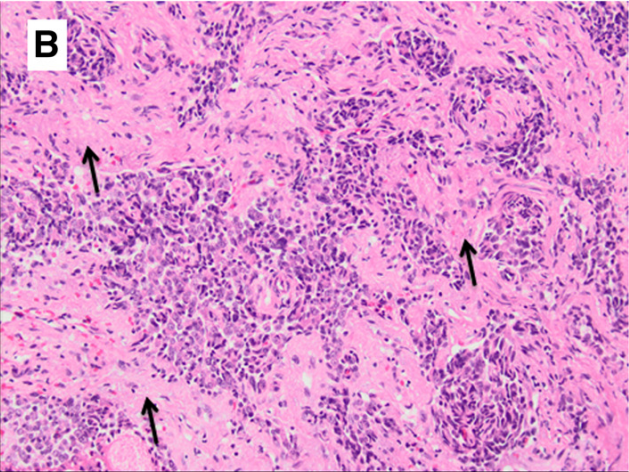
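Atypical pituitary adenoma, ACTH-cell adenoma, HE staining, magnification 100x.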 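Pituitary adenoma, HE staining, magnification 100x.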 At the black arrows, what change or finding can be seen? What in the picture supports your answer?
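Infiltration of surrounding meninges. Nests and strands of small dark-nucleated cells lie between bands of pink fibrous tissue. The arrows point into the pink collagenous stroma around the cell nests.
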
